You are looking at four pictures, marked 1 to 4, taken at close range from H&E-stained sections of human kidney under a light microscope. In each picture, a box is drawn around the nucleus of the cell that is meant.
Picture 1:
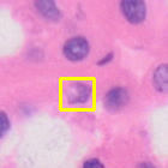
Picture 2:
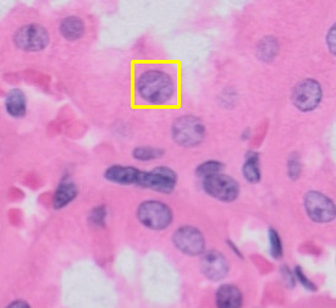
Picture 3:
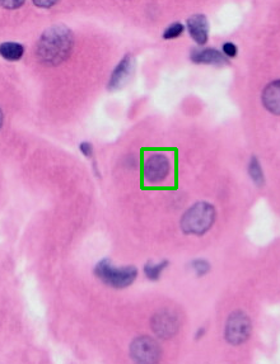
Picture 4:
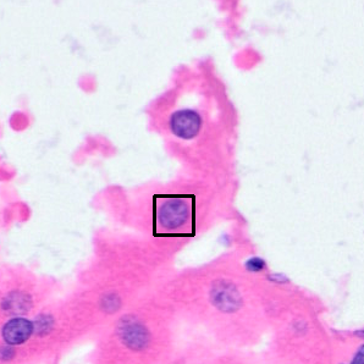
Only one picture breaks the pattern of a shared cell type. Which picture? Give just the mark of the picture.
1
